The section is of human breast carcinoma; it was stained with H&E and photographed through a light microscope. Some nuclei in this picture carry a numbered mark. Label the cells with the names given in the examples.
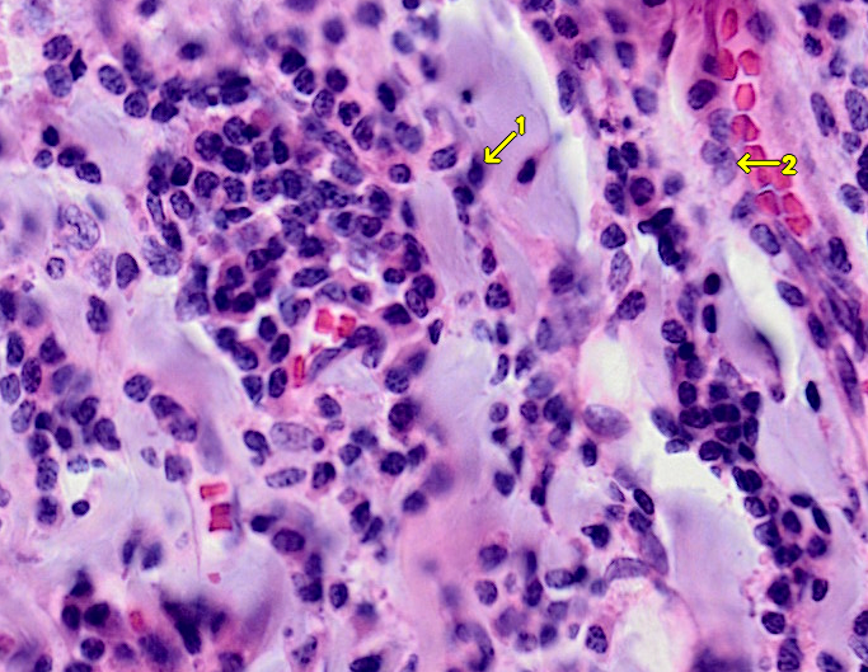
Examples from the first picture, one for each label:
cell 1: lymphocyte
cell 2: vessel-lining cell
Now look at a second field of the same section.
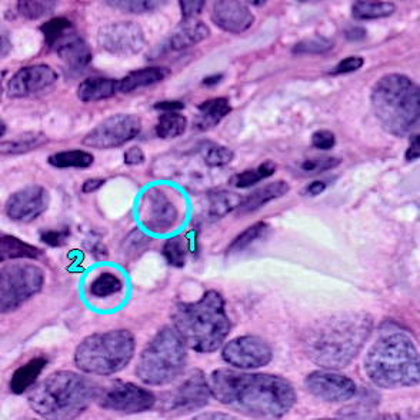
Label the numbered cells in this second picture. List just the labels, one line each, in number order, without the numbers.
vessel-lining cell
lymphocyte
